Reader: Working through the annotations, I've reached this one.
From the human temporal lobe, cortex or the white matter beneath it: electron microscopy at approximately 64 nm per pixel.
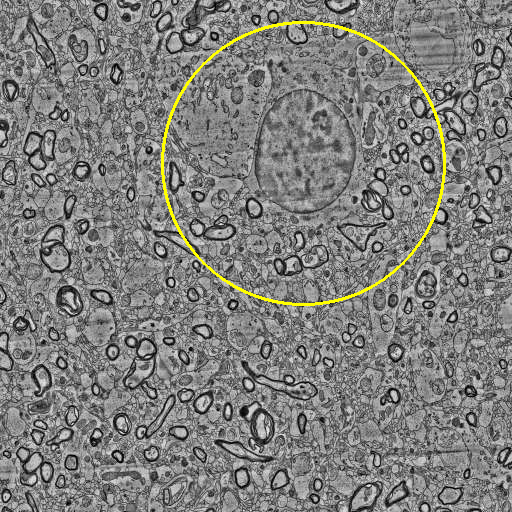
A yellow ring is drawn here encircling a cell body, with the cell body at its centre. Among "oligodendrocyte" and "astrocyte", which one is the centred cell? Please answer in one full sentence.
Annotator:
The cell body at the centre of the yellow ring in this image belongs to an oligodendrocyte.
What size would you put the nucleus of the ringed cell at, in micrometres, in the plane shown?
About 8 micrometres by about 6 micrometres in this plane.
